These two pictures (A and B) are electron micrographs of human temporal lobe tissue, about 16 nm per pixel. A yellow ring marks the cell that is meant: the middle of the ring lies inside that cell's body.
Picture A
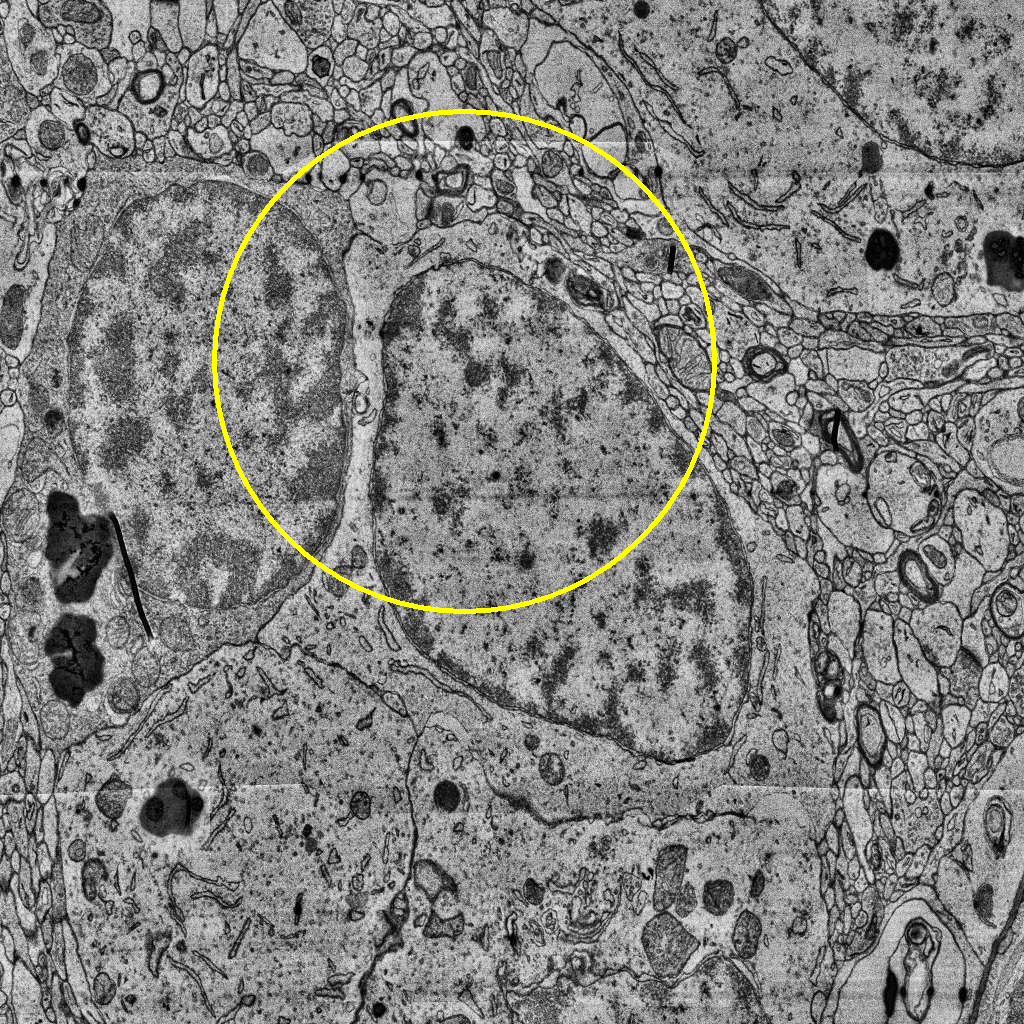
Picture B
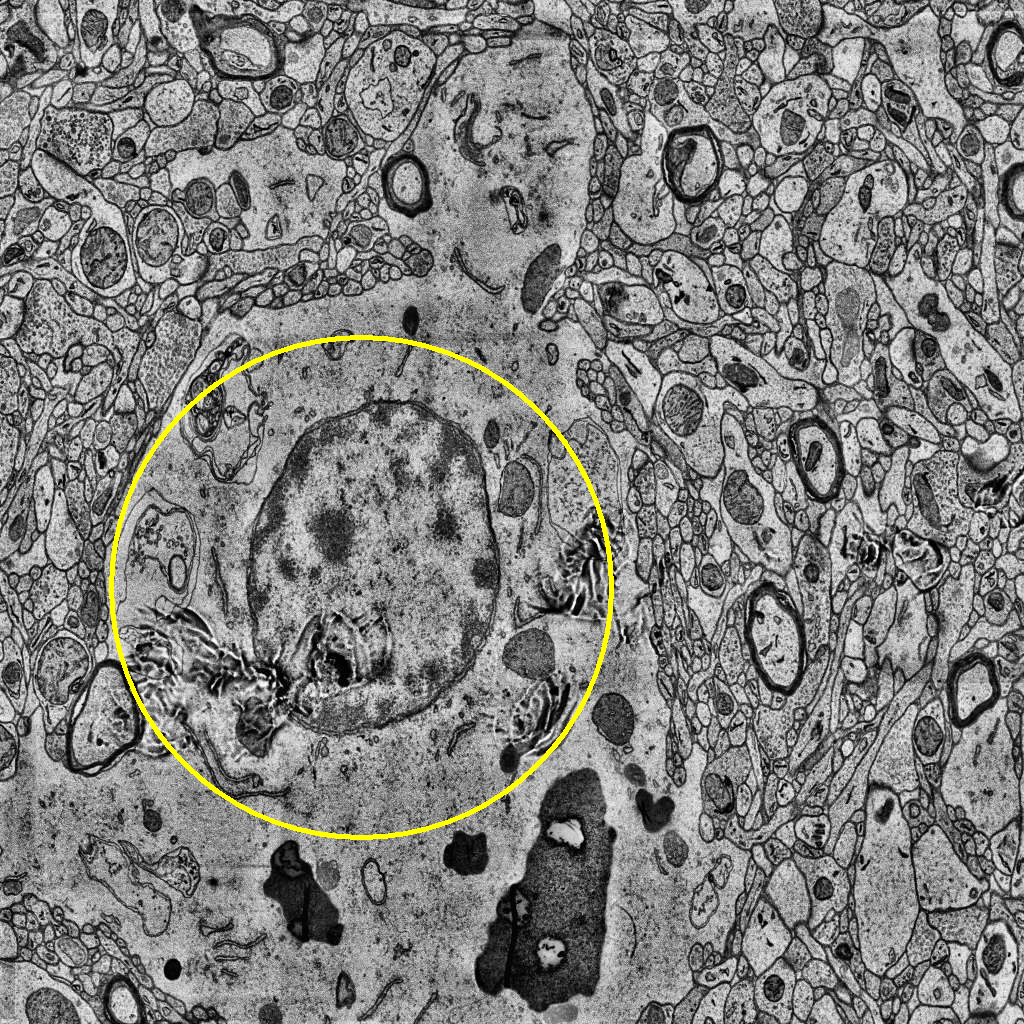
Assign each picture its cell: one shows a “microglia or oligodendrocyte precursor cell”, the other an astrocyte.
Picture A shows a “microglia or oligodendrocyte precursor cell” and picture B shows an astrocyte.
